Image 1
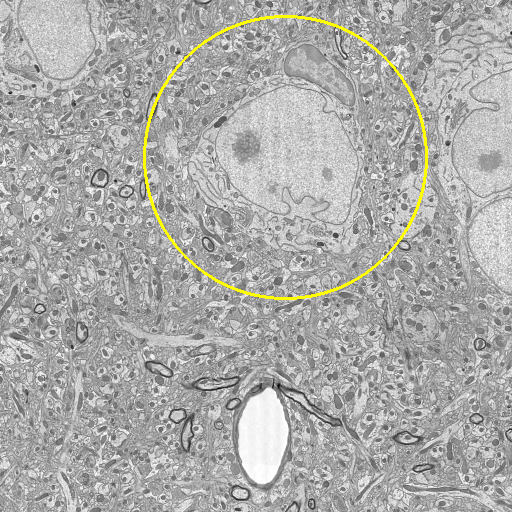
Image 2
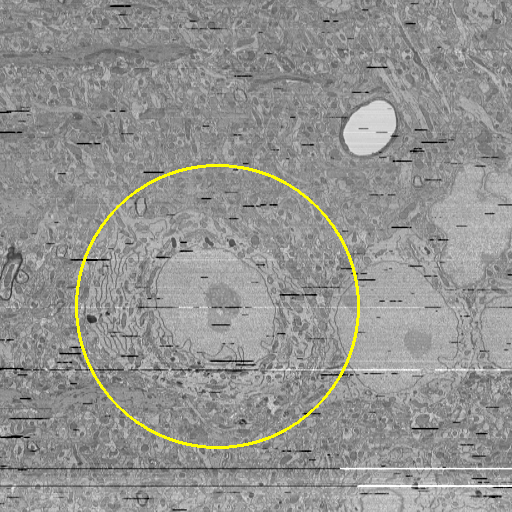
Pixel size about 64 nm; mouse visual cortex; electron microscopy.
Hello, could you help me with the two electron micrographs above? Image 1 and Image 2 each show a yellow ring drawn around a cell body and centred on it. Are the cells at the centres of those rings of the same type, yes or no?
yes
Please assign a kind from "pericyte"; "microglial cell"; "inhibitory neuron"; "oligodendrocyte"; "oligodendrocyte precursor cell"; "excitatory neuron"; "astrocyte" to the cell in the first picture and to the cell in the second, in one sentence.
Each cell at the centre of a ring is an inhibitory neuron.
